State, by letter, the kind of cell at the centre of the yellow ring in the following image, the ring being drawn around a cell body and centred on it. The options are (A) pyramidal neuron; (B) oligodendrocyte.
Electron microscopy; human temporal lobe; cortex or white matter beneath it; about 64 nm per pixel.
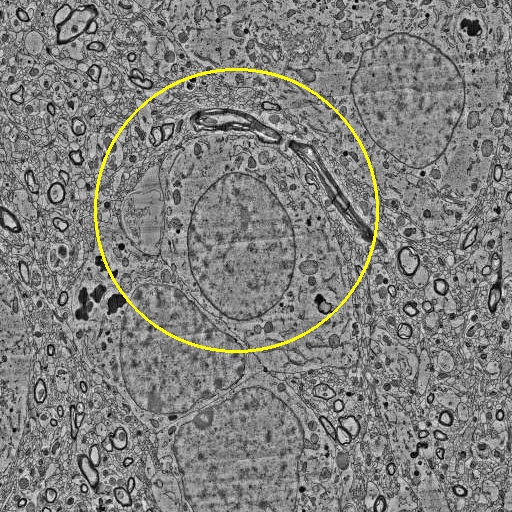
A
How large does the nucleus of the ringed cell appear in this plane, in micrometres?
Approximately 9 x 7 micrometres in this plane.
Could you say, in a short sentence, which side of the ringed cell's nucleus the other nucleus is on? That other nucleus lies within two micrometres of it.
The other nucleus is situated to the lower left of it.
